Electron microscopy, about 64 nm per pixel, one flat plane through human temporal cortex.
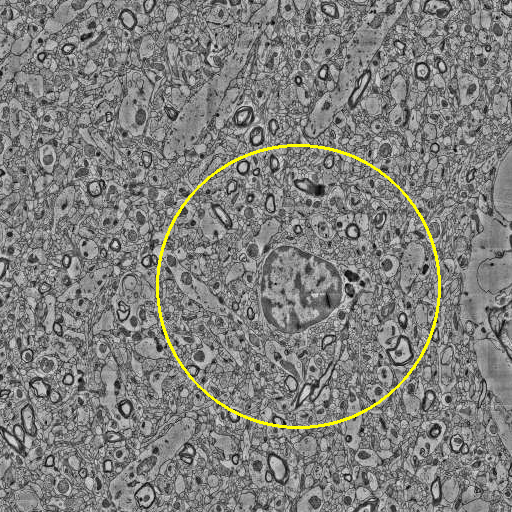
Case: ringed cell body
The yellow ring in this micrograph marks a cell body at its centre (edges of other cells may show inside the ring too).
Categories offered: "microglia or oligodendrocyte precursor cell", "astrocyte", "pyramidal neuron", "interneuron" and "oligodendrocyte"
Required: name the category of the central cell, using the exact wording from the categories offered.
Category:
microglia or oligodendrocyte precursor cell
